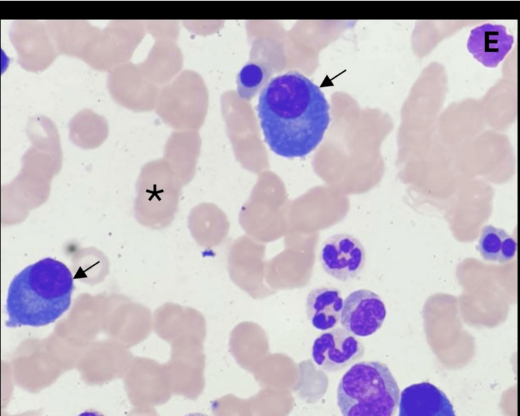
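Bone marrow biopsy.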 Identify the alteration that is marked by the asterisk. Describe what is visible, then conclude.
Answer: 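Rouleaux formation. Red cells lie stacked against one another in chains like piles of coins. The stacked red cells overlap along their flat faces.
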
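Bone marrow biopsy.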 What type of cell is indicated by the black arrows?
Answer: atypical plasma cells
